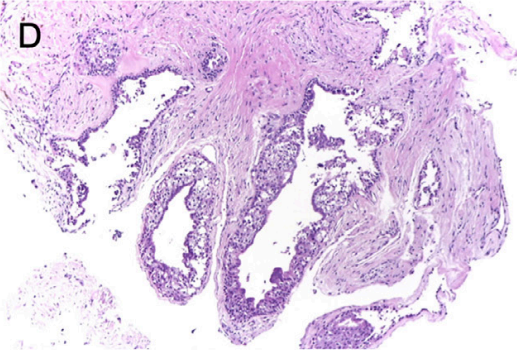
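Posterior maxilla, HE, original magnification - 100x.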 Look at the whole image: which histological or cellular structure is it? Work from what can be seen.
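Several epithelium-lined spaces resembling gland lumens are present. The spaces lie within pale fibrous connective tissue. So: pseudoglandular structures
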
